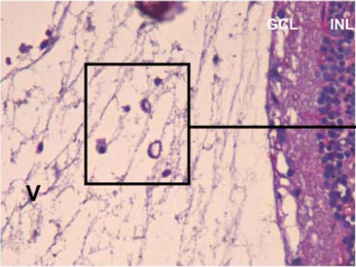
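Section of the eye with the layered retina at the right edge and the vitreous cavity filling most of the field. The vitreous holds a loose, pale purple fibrillar network in which scattered cells with dark purple nuclei and several round, ring-shaped vessel profiles with pink-purple walls and open lumens are seen. The retina shows closely packed rows of dark nuclei in its nuclear layers.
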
